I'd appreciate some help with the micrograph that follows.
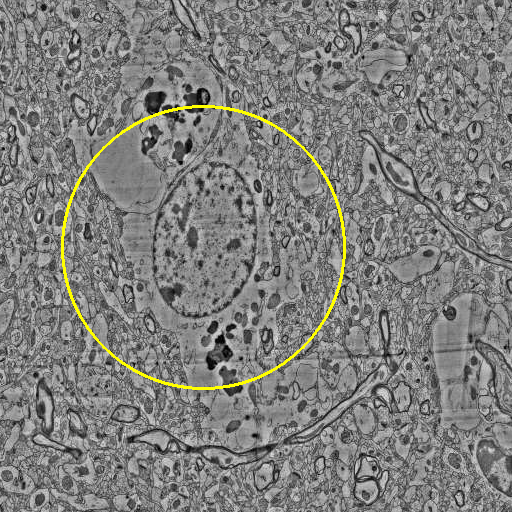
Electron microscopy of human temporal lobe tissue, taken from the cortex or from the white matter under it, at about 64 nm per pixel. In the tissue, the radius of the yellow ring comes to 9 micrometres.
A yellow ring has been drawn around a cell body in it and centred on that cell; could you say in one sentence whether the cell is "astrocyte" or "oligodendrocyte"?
It is an astrocyte at the centre of the ring.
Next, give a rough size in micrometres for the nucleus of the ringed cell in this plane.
About 10 by 7 micrometers in this plane, so the nucleus is clearly longer than it is wide.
